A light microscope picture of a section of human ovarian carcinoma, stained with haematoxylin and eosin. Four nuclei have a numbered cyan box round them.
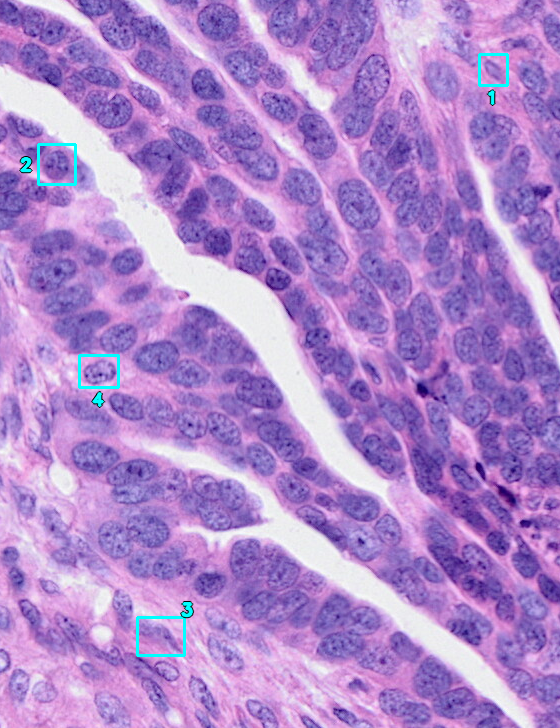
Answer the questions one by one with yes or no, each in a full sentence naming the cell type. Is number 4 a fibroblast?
No, what number 4 shows is a macrophage or monocyte, not a fibroblast.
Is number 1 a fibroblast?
Yes, the cell that has number 1 is a fibroblast.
